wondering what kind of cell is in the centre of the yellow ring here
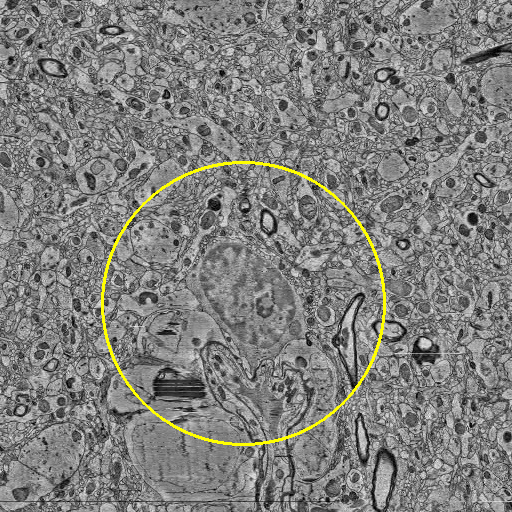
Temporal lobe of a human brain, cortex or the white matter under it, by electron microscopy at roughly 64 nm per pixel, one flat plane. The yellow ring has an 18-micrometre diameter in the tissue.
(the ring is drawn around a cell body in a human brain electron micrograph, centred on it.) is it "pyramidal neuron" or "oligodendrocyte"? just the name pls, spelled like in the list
oligodendrocyte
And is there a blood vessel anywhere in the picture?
Yes, there is one.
